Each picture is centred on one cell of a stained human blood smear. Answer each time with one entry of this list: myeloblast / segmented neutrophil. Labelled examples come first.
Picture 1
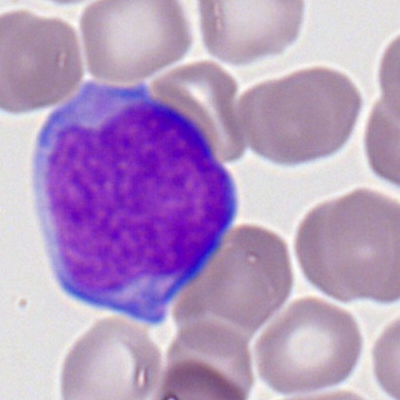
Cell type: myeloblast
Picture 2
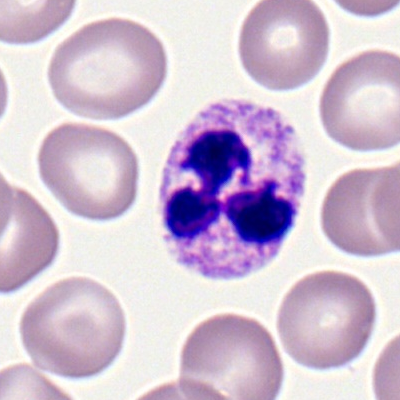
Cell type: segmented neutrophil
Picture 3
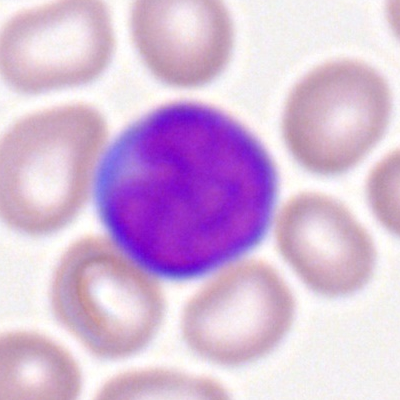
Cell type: myeloblast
